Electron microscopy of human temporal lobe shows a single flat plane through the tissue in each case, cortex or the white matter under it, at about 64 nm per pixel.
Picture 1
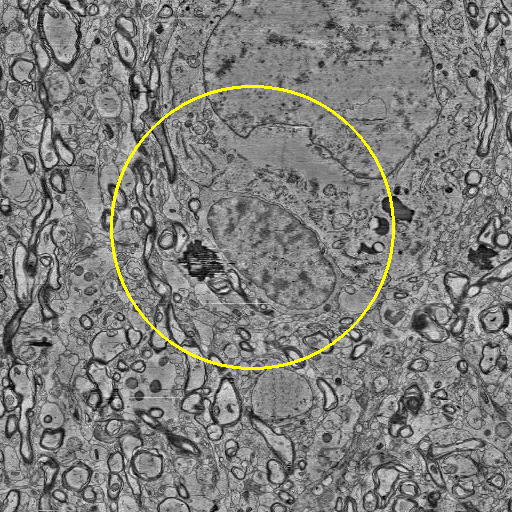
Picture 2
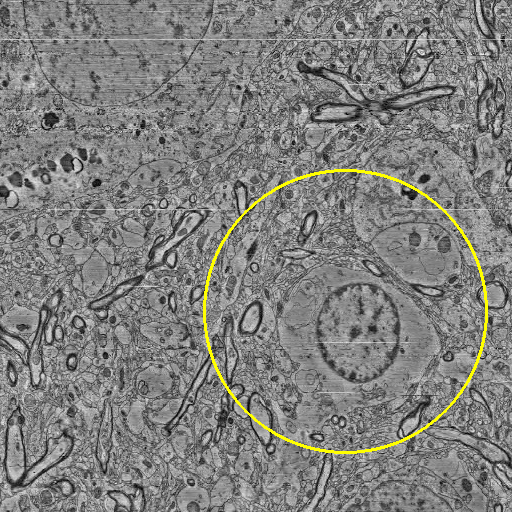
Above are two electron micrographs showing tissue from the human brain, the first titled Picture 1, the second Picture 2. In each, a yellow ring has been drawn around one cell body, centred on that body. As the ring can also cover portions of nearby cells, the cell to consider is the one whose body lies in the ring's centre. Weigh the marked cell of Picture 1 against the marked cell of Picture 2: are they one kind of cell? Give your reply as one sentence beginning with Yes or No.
No, the two cells sitting at the ring centres in the pictures are of two kinds.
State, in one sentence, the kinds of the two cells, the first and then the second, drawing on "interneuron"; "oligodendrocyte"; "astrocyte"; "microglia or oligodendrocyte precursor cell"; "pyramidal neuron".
The ring in the second picture is centred on an astrocyte, the ring in the first on an oligodendrocyte.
